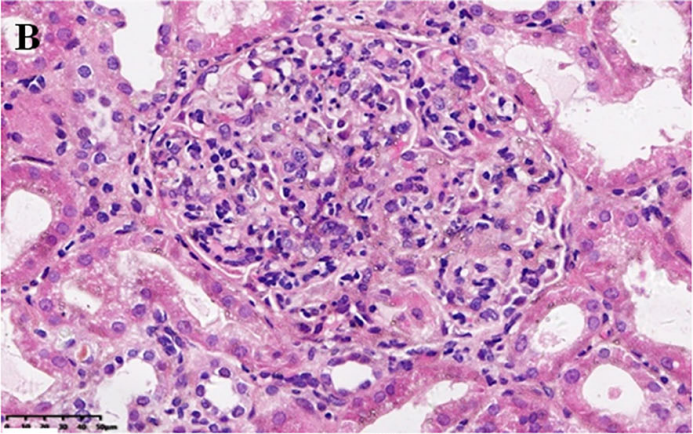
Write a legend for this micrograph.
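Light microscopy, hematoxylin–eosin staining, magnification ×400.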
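This is a glomerulus in kidney cortex with a markedly hypercellular tuft. Many small dark round and irregular nuclei crowd the capillary loops, so that open lumina are hardly visible. The tuft nearly fills Bowman's space, outlined by a thin capsule. Around it lie tubules lined by cuboidal epithelium with pink cytoplasm and round nuclei, some with widened lumina.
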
